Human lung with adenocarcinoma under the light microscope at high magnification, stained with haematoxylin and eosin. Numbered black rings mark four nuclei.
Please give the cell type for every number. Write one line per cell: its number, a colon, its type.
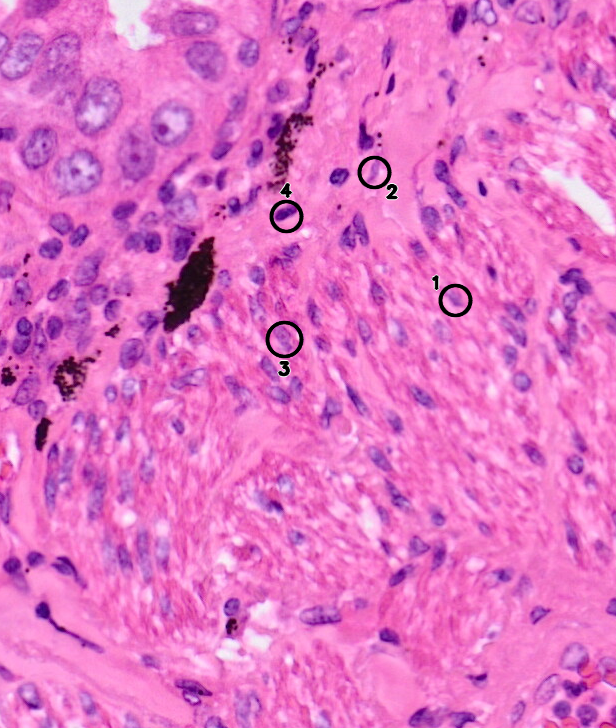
1: smooth muscle cell or pericyte
2: fibroblast
3: smooth muscle cell or pericyte
4: lymphocyte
